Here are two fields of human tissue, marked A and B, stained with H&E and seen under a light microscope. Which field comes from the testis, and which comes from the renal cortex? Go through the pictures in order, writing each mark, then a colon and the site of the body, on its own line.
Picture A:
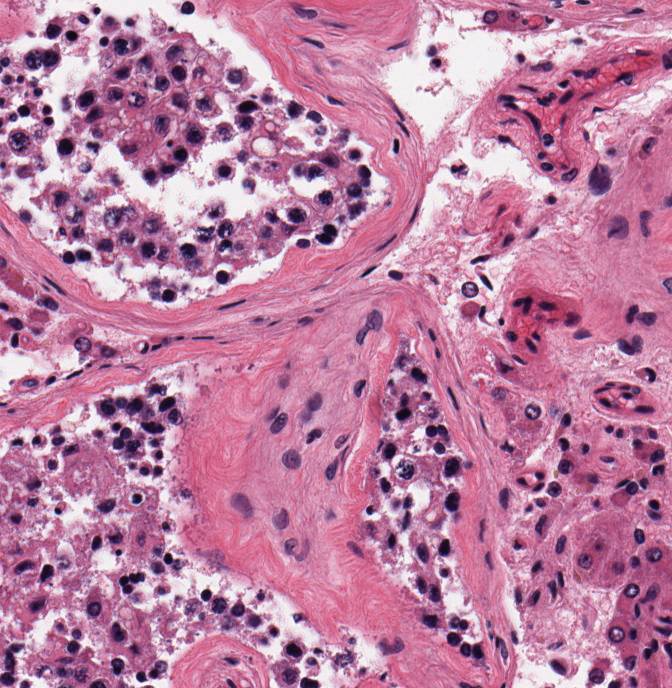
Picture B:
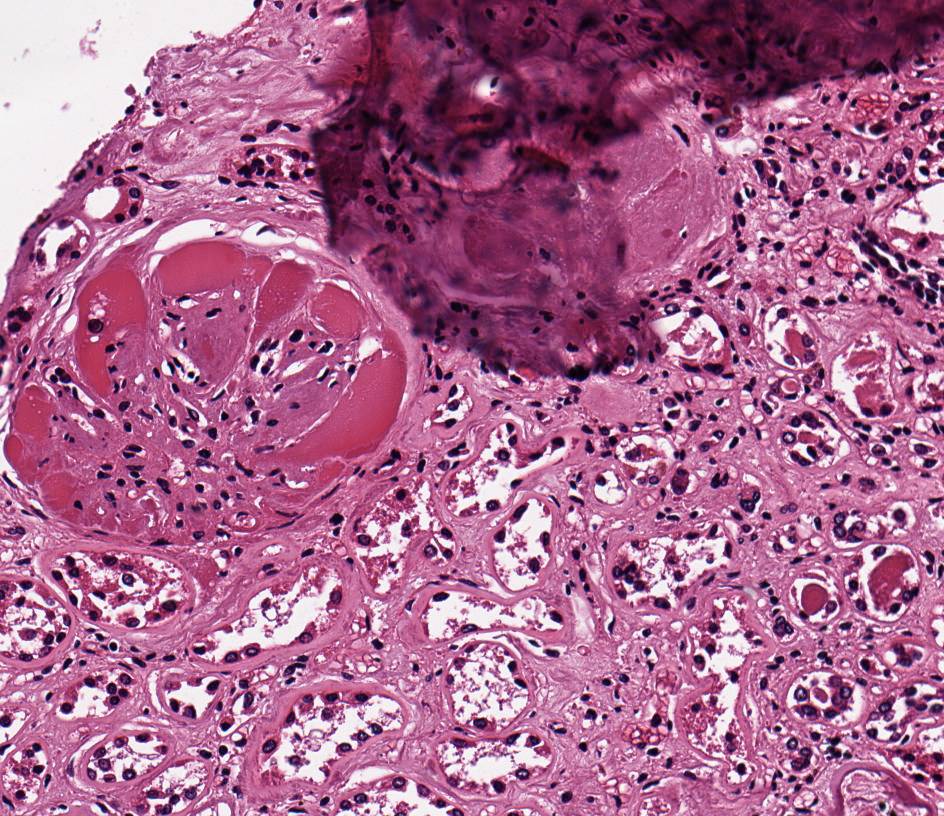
A: testis
B: renal cortex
